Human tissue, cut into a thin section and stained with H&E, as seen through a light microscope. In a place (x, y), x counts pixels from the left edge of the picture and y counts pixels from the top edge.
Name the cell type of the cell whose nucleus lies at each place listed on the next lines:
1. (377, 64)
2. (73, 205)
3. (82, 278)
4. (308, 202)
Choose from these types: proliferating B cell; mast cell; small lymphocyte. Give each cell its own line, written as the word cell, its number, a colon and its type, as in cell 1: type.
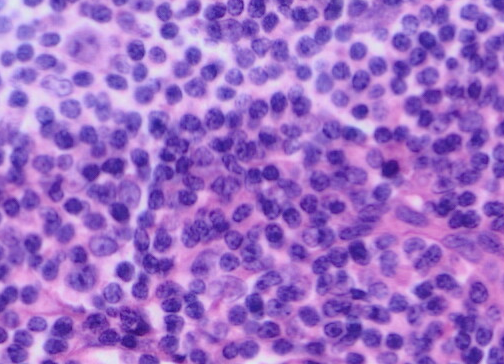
cell 1: small lymphocyte
cell 2: small lymphocyte
cell 3: proliferating B cell
cell 4: small lymphocyte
